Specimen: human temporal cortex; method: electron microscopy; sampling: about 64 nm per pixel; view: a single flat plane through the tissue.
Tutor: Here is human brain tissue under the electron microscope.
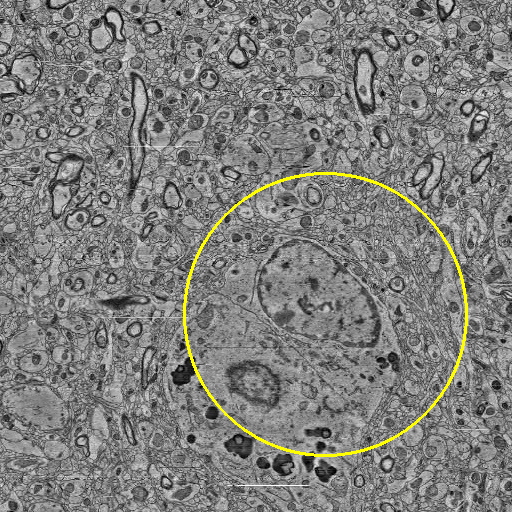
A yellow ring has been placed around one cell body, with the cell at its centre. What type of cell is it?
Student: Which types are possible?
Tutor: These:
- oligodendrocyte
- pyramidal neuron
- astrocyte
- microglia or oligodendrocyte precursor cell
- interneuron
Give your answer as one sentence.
What the ring picks out here is a microglial cell or oligodendrocyte precursor cell.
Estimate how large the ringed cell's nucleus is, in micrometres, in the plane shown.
The nucleus is about 9 micrometres in length and 6 in width, clearly longer than it is wide in this plane.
